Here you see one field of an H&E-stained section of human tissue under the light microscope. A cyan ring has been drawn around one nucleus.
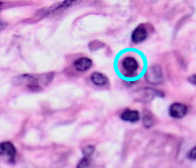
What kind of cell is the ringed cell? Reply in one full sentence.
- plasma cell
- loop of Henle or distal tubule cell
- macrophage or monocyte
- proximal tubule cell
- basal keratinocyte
This is a plasma cell.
